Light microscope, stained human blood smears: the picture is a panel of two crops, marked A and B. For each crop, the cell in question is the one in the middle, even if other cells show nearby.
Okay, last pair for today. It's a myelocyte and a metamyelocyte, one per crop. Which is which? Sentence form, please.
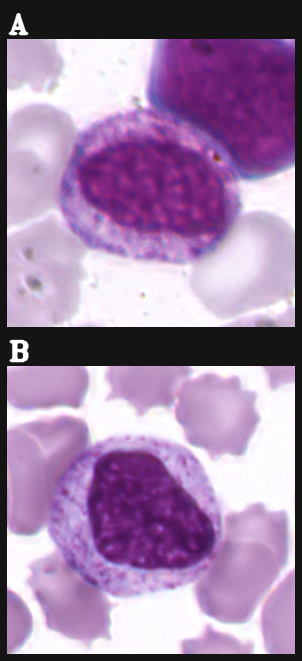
The central cell of crop A is a myelocyte, and that of crop B is a metamyelocyte.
